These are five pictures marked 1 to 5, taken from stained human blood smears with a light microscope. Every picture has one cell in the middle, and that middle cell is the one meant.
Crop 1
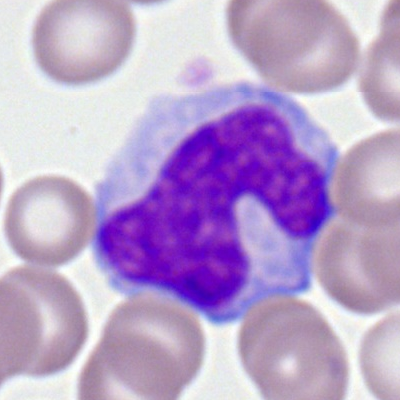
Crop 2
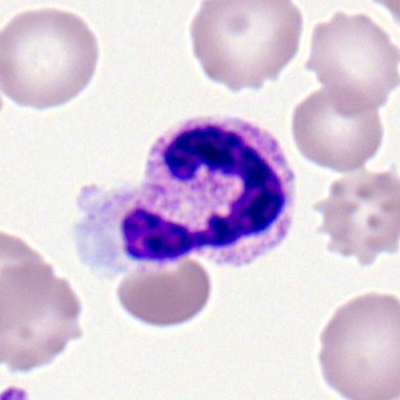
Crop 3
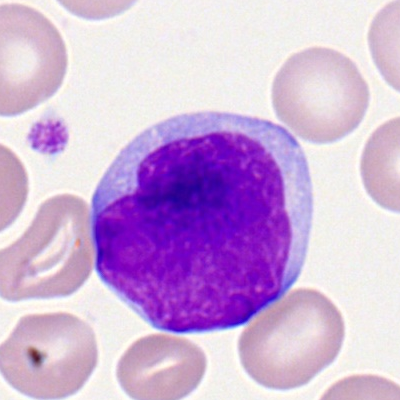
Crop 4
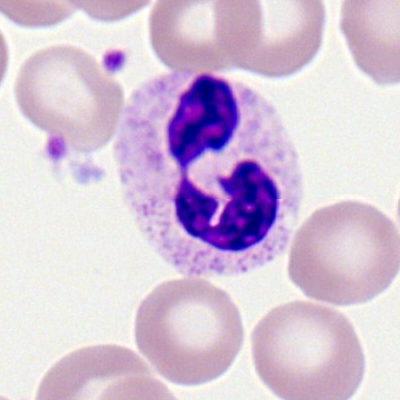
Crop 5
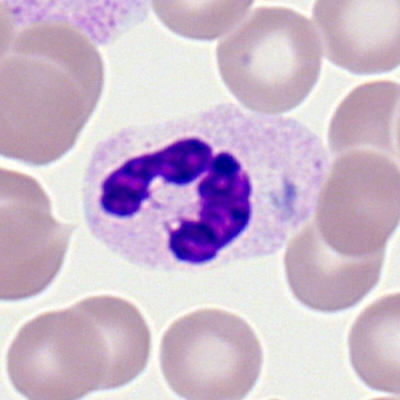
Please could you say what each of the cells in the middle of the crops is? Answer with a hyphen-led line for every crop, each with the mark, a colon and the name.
- 1: monocyte
- 2: segmented neutrophil
- 3: myeloblast
- 4: segmented neutrophil
- 5: segmented neutrophil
